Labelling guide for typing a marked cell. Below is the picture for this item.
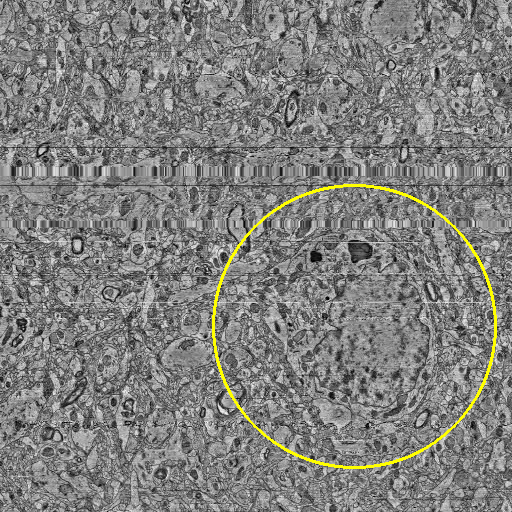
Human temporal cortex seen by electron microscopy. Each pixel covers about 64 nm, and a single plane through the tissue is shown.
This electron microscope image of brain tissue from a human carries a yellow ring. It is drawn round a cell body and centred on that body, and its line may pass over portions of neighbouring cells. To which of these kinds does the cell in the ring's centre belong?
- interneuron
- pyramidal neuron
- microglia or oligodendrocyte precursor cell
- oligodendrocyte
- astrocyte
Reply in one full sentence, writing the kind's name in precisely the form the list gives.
Here we have an interneuron at the centre of the yellow ring in the picture.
